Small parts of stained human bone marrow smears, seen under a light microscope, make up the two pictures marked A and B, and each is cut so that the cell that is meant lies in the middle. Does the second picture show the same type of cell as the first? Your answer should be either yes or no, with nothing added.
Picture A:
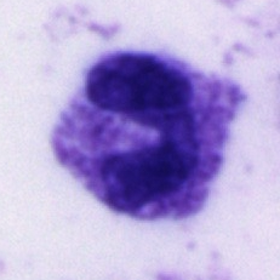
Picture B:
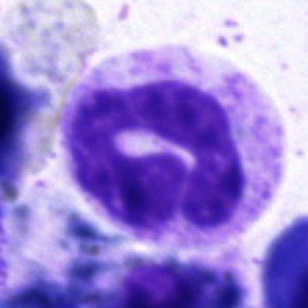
yes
